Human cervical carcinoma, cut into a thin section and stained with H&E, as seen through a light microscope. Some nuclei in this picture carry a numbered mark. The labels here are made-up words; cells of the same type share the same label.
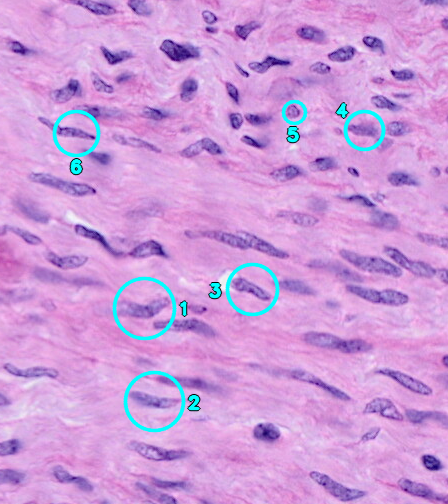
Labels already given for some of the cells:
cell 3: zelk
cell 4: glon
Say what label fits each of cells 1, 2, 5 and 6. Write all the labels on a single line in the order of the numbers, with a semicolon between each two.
glon; zelk; glon; zelk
